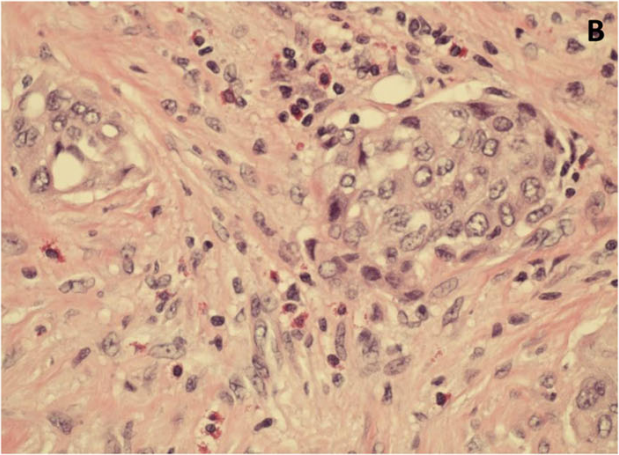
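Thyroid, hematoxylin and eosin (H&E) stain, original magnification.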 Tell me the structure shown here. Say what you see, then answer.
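Cohesive clusters of large polygonal cells with ample pale-pink cytoplasm. Their nuclei are large and vesicular with visible nucleoli. The answer: Nests of squamoid cells.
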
